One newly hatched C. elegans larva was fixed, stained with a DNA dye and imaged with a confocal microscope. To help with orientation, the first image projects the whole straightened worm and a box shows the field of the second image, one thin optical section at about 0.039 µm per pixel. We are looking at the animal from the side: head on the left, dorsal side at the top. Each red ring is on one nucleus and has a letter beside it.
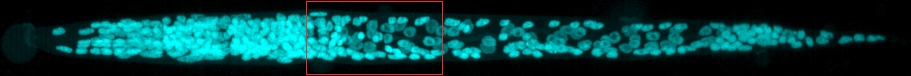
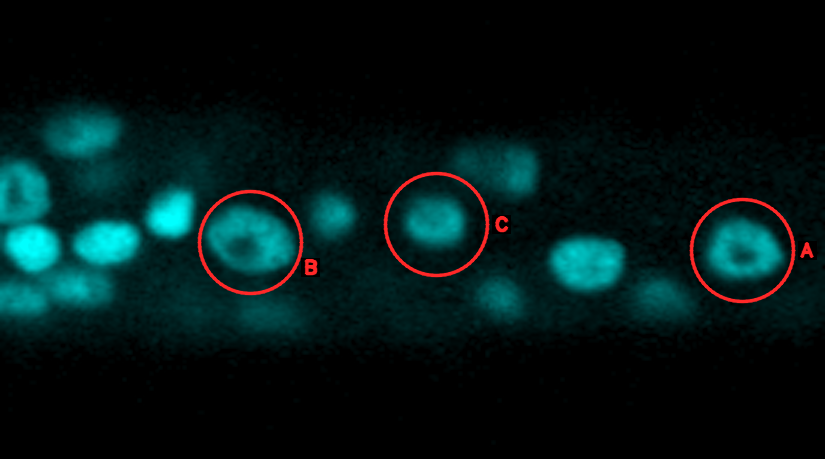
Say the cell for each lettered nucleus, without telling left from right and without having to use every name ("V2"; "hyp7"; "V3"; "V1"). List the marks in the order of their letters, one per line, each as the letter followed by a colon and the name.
A: V2
B: hyp7
C: V1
